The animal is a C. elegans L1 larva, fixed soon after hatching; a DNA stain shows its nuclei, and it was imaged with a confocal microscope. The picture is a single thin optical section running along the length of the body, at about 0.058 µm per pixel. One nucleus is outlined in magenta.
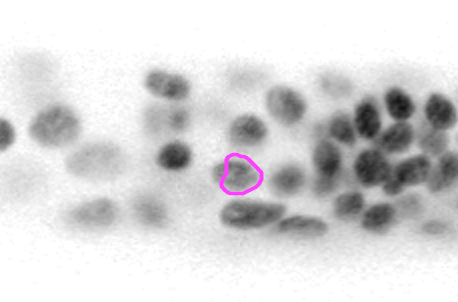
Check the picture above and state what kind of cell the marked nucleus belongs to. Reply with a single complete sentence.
It is the nucleus of a pharyngeal muscle cell.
